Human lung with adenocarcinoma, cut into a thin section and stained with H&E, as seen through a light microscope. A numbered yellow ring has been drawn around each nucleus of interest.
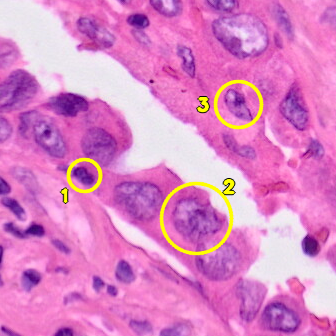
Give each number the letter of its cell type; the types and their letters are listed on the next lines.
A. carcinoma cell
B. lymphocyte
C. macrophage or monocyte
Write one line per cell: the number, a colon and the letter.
1: B
2: A
3: C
